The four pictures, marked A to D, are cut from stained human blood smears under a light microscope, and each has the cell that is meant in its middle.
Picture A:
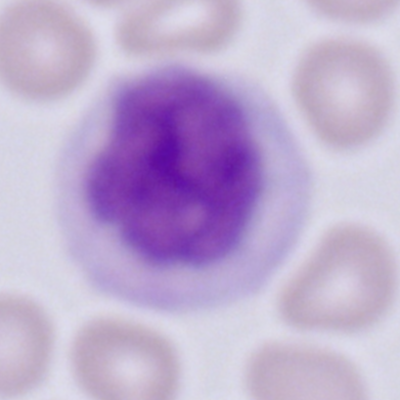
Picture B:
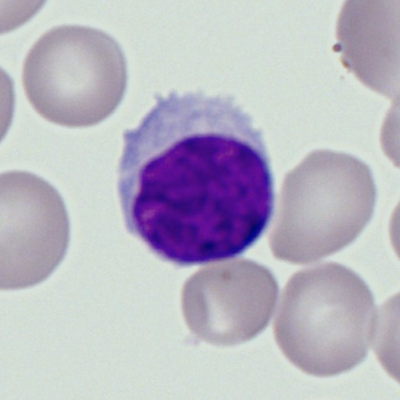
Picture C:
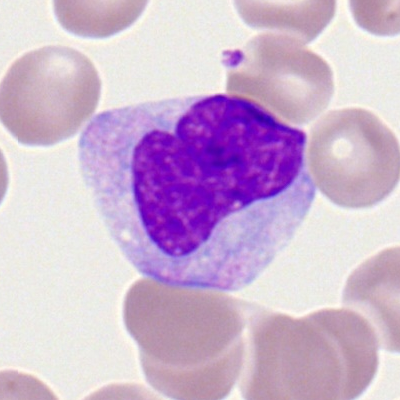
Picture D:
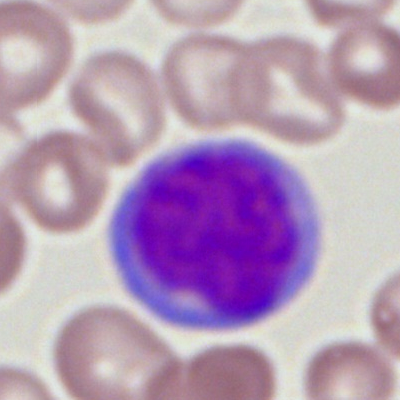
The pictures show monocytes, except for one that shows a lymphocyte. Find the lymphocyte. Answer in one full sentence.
Picture B shows the lymphocyte.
